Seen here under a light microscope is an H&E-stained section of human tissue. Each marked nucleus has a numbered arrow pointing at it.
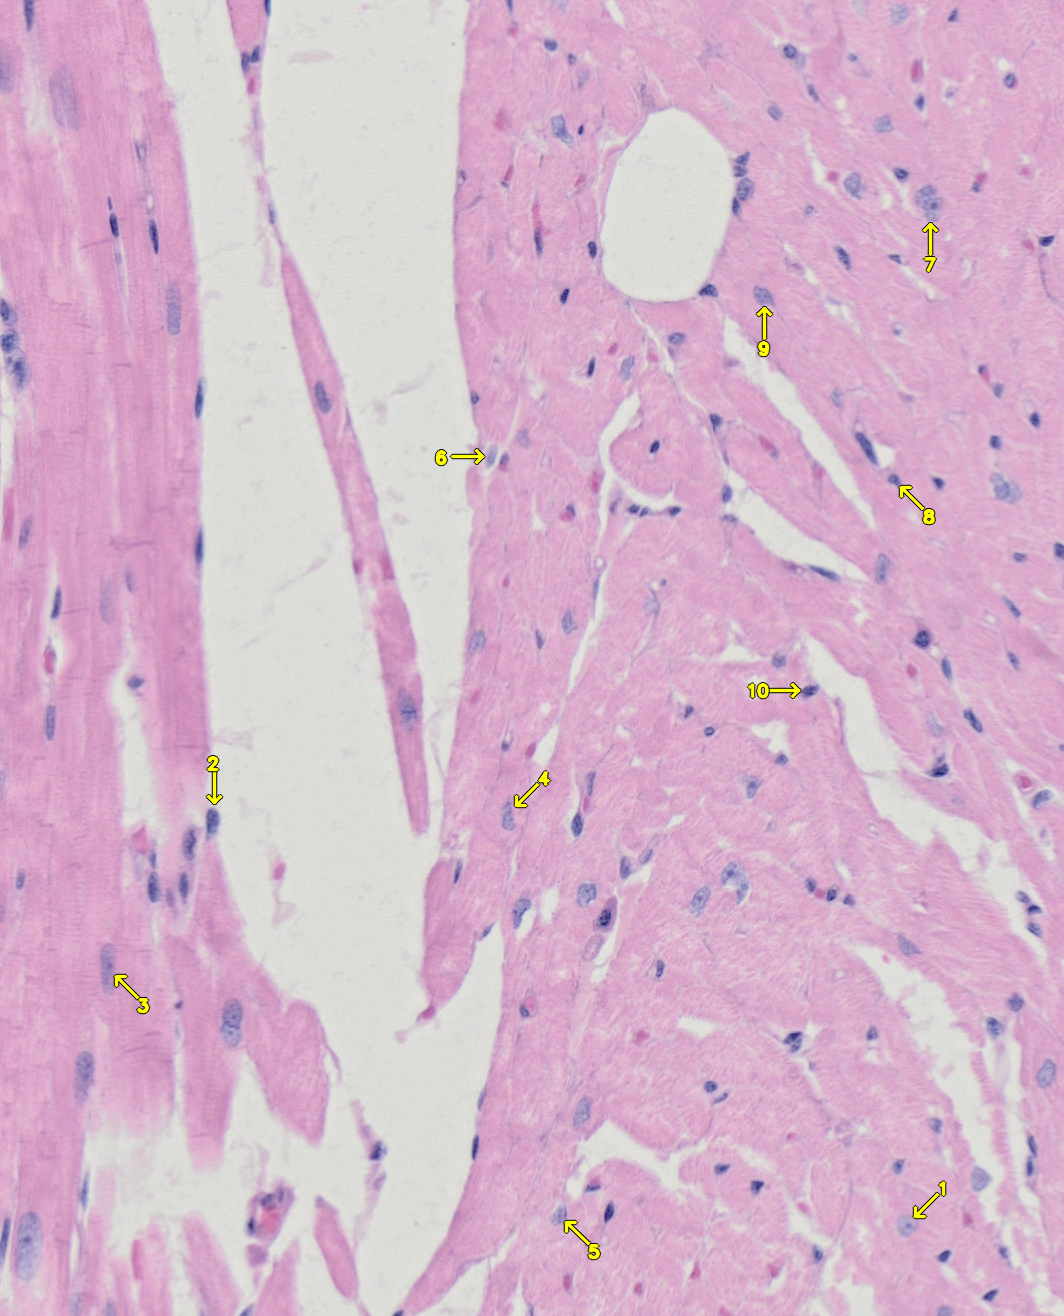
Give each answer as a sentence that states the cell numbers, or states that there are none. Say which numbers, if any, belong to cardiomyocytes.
Identified as cardiomyocytes are the cells numbered 1, 3, 4, 5, 7 and 9.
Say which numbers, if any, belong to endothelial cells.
Only one marked cell, number 10, is an endothelial cell.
